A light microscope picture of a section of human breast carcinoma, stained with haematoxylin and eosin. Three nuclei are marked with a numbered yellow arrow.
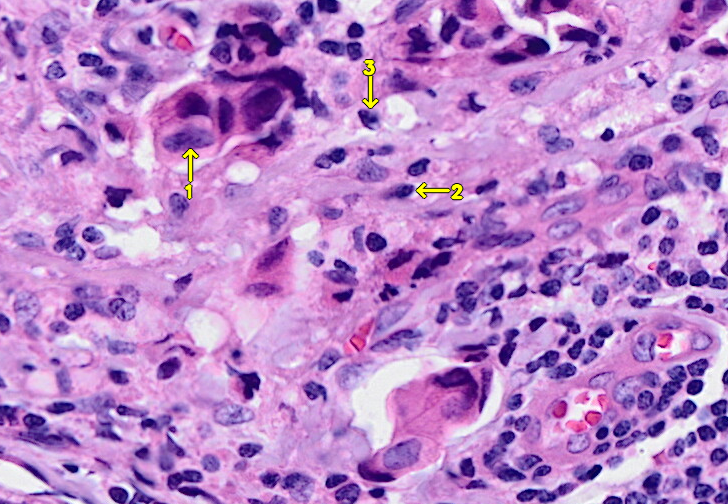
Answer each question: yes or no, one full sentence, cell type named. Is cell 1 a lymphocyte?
No, cell 1 is to be read as a carcinoma cell, not a lymphocyte.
